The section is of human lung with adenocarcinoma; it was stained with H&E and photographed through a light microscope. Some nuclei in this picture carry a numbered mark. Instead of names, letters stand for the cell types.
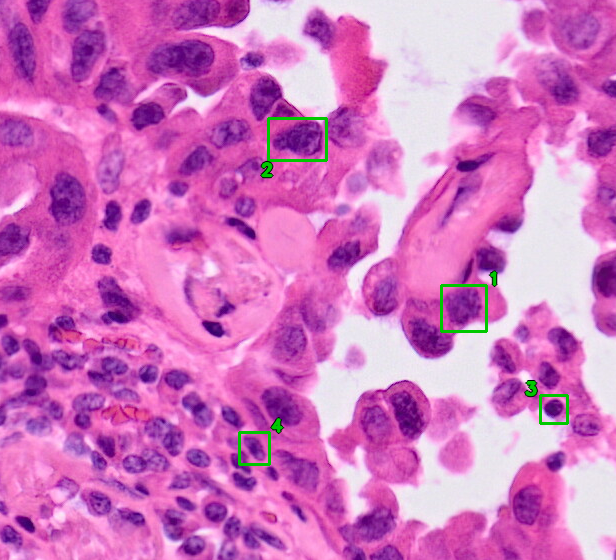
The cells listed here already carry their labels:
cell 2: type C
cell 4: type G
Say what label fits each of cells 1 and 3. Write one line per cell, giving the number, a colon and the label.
1: type C
3: type G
